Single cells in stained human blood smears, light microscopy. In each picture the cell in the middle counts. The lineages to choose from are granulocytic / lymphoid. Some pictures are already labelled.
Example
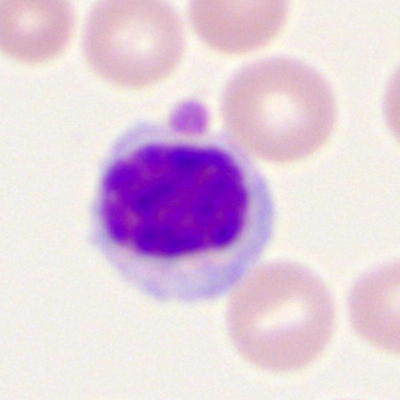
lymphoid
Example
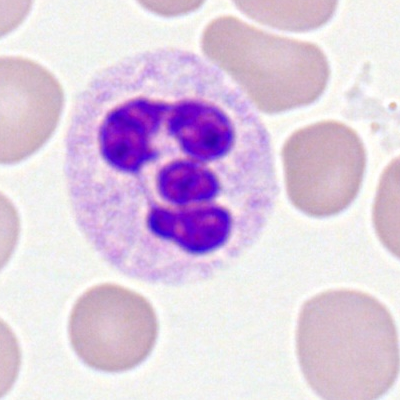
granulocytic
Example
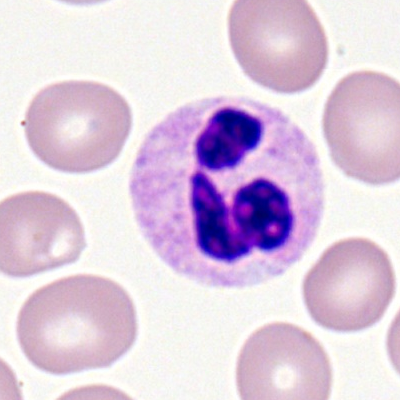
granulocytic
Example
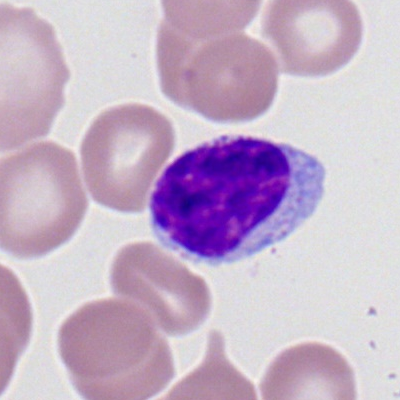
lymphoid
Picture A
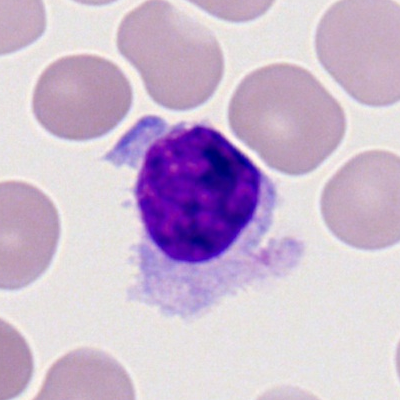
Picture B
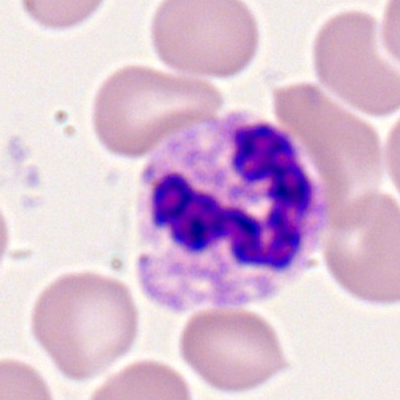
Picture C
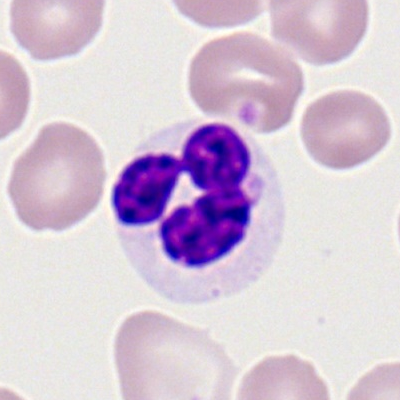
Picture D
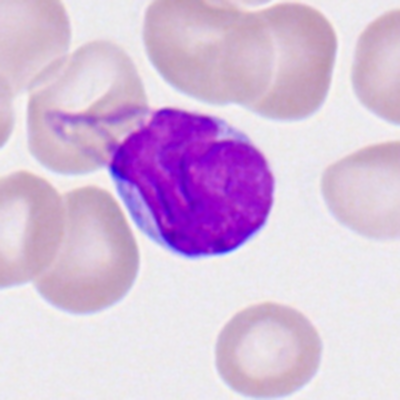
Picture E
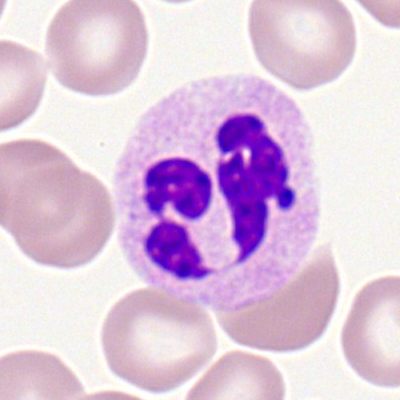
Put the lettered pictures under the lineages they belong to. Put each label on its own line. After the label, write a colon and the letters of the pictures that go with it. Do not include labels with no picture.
granulocytic: B, C, E
lymphoid: A, D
